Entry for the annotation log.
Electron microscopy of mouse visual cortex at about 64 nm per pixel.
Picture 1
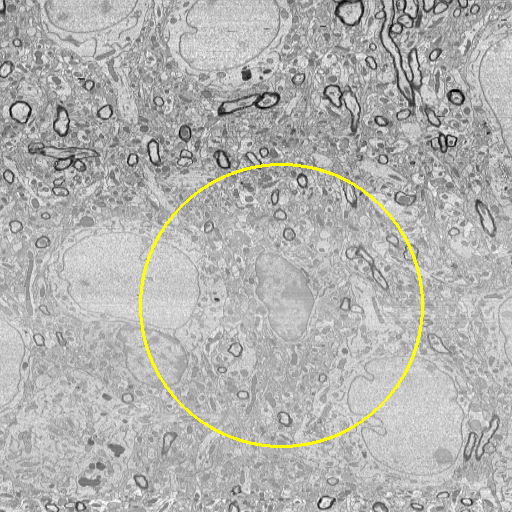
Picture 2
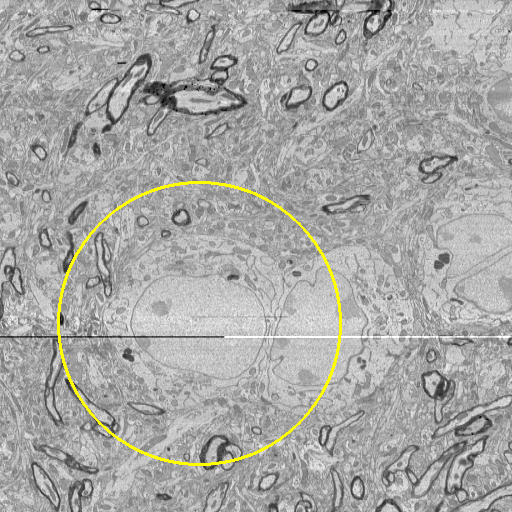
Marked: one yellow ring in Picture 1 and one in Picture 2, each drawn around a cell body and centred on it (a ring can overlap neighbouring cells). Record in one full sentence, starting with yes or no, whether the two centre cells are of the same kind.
No, the two cells are of two kinds.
